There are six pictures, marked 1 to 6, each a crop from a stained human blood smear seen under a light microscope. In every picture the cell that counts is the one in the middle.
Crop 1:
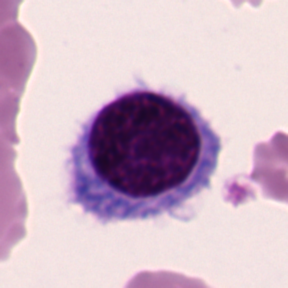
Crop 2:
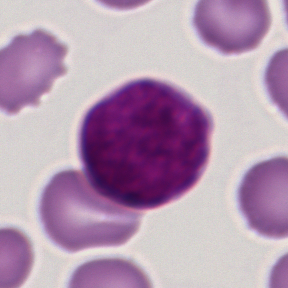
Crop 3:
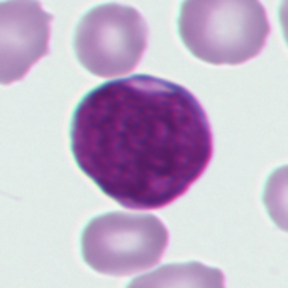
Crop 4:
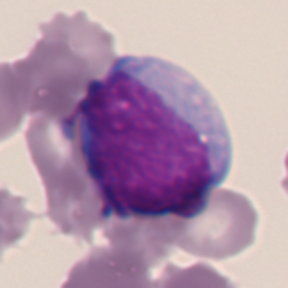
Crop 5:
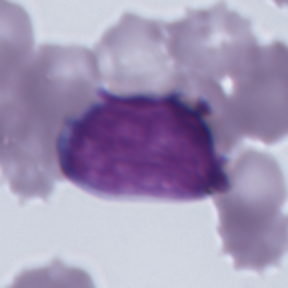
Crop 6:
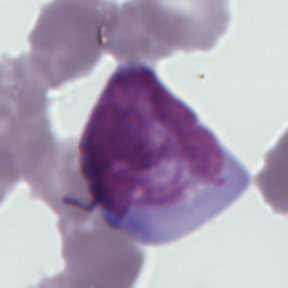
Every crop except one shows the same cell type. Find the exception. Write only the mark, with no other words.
1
